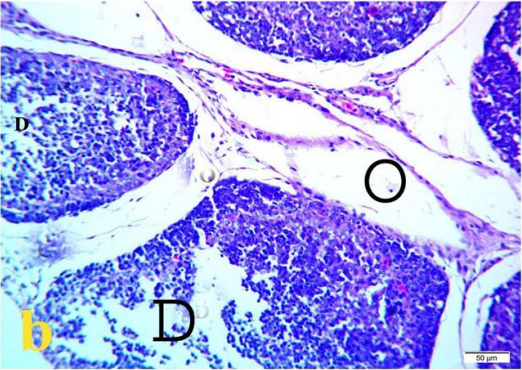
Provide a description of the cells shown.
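Bursa of Fabricius with lymphoid follicles separated by interfollicular connective tissue. The interfollicular septa are widened, pale and loosely textured, consistent with edema, with scattered spindle-shaped nuclei.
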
